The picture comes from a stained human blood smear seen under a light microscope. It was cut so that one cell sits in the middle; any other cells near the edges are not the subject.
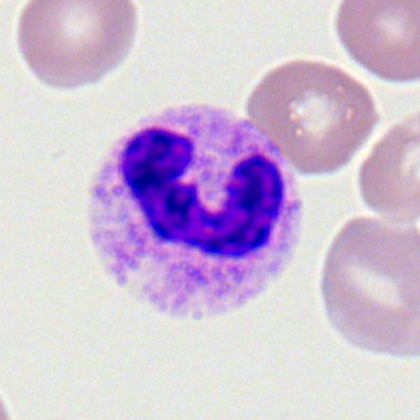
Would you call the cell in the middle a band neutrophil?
yes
